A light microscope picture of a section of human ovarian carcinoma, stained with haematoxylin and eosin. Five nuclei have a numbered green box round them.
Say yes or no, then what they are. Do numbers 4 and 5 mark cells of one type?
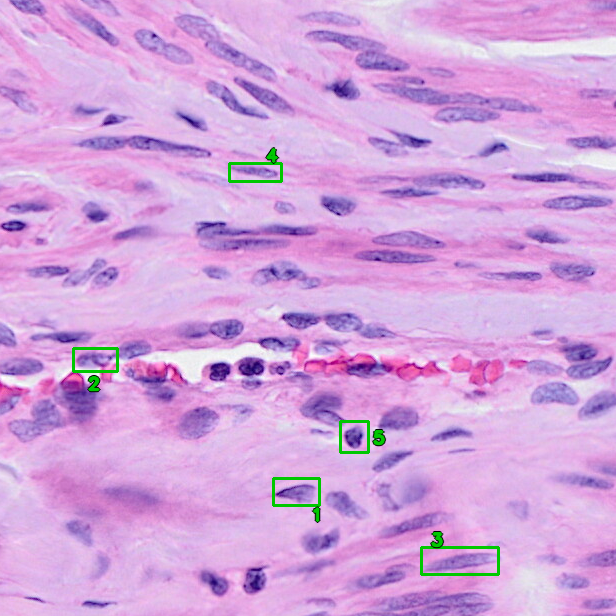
No, the cell tagged 4 is a smooth muscle cell, whereas the cell tagged 5 is a lymphocyte.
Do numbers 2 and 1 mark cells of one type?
No, the cell at number 2 is an endothelial cell, and the cell at number 1 is a fibroblast.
